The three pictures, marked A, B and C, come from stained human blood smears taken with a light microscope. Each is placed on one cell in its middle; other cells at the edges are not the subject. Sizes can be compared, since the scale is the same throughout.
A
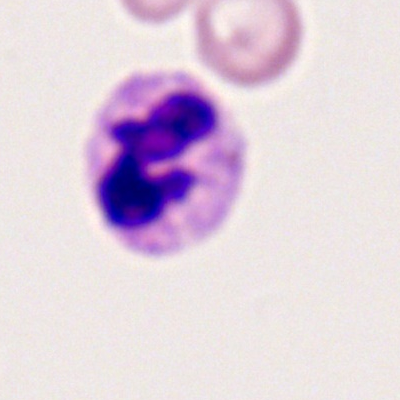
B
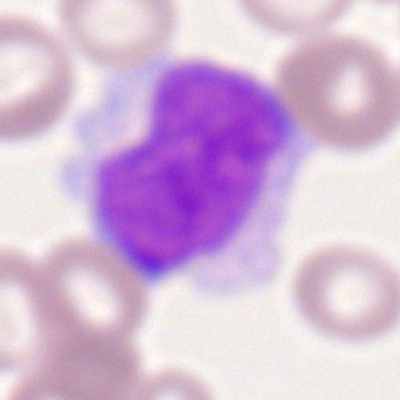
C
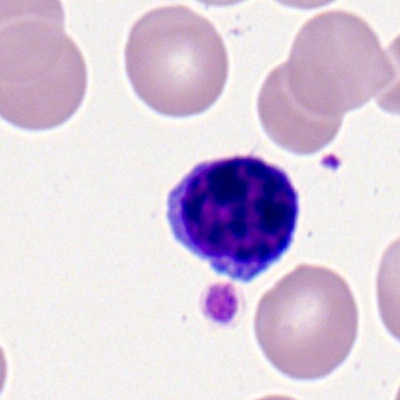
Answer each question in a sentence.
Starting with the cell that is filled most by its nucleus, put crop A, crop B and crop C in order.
The most filled comes first: C, B, A.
